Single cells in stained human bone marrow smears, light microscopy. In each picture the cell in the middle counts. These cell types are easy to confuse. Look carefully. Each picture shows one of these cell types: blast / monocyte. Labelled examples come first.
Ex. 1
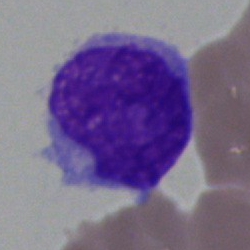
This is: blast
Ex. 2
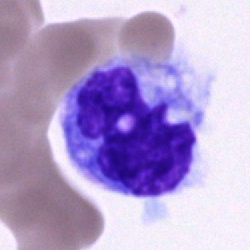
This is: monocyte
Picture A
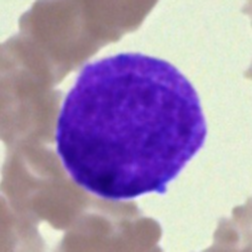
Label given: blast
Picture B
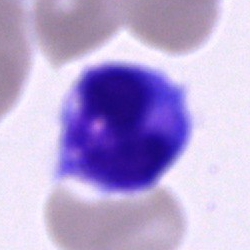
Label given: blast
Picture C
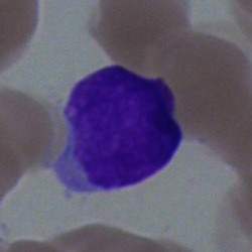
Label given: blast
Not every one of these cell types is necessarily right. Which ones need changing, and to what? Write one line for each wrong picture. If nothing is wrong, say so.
B: change blast to monocyte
